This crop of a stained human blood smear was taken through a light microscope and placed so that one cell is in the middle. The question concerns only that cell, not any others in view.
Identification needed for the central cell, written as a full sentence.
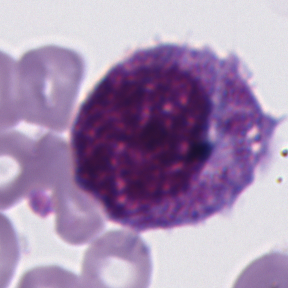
The middle of this crop is occupied by a promyelocyte.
